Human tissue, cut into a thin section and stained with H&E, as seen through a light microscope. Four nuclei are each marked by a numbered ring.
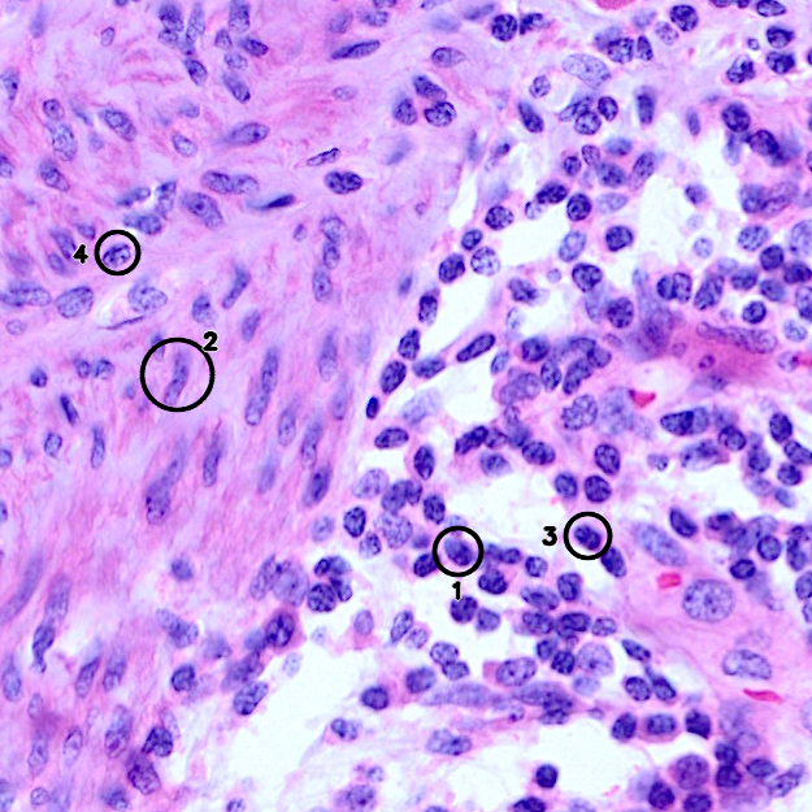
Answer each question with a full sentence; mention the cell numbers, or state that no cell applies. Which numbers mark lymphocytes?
The cells referred to by numbers 1, 3 and 4 are lymphocytes.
